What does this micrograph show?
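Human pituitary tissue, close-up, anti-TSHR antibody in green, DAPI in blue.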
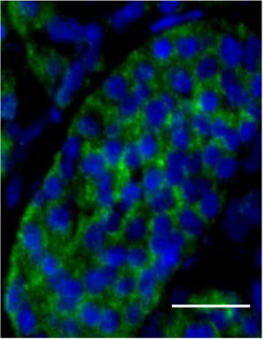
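The green label is granular and brighter in places, with a few bright dots scattered through the cytoplasm. Parts of neighbouring nests can be seen at the edges of the field.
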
